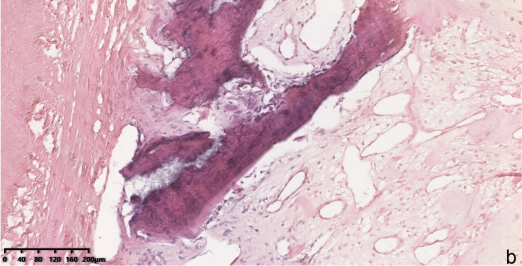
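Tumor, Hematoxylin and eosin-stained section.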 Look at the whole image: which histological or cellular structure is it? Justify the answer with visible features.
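Bone trabeculae. A dense elongated purple band runs diagonally across the field. The band is bordered by paler loose tissue on one side and fibrous pink tissue on the other.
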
